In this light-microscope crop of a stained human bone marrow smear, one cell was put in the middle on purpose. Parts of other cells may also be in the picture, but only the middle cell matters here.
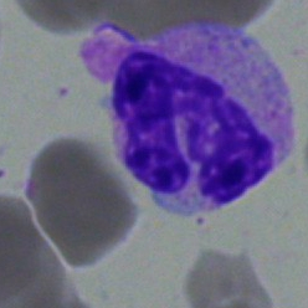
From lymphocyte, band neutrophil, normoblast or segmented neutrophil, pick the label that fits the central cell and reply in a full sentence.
The cell centred in this crop is categorized as a band neutrophil.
